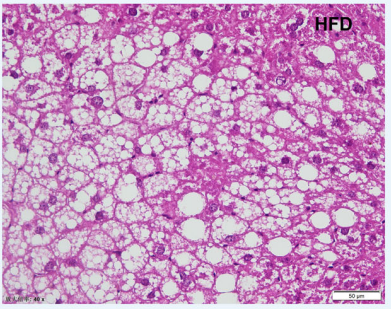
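Liver tissue in which the hepatocytes are filled with fat. Most of the field is occupied by round, clear, empty-looking vacuoles of widely varying size, from small droplets to large spaces several times the size of a nucleus. The pink-stained cytoplasm is reduced to thin strands and webs between the vacuoles, and the normal cord arrangement of the cells is hard to make out. Purple nuclei are scattered among the vacuoles, some lying at the edges of larger spaces. Small patches of denser pink cytoplasm remain in places, especially toward the upper right.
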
